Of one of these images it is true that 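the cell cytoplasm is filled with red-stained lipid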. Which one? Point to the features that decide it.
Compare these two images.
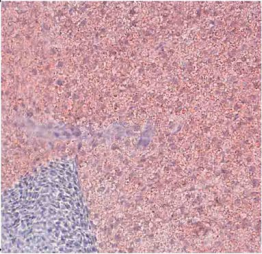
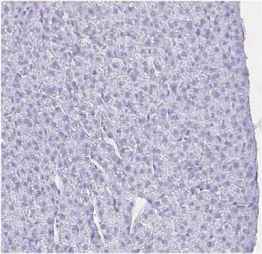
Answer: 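First image: the parenchyma is diffusely orange-red. Second image: the parenchyma is pale with blue-purple nuclei and no red. The answer: the first image.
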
